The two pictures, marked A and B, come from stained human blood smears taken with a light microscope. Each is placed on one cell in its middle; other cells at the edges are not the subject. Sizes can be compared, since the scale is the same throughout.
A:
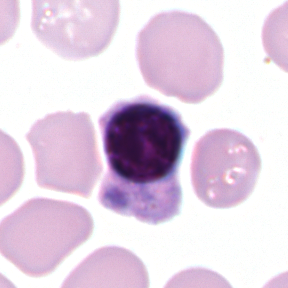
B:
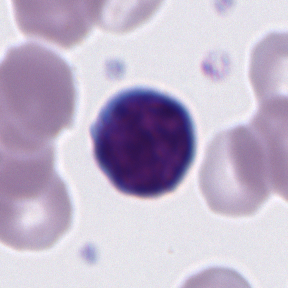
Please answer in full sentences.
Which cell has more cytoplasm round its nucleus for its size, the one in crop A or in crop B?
It is the cell in crop A that is filled less by its nucleus.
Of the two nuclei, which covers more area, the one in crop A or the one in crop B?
Crop B shows the larger nucleus; it covers about 1.5 times the area of the nucleus in crop A.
